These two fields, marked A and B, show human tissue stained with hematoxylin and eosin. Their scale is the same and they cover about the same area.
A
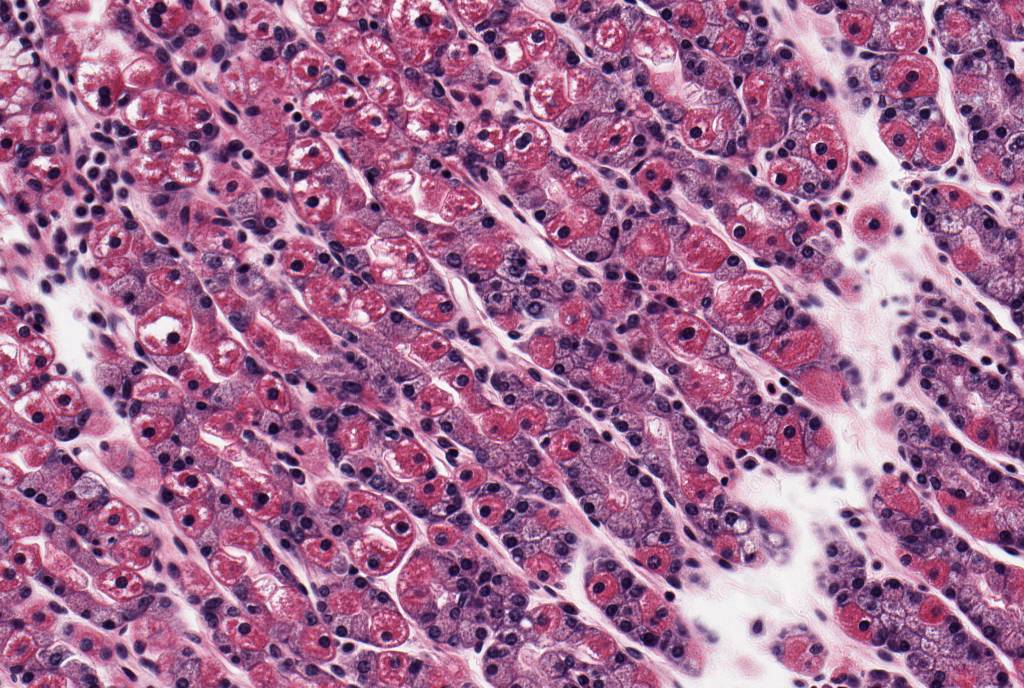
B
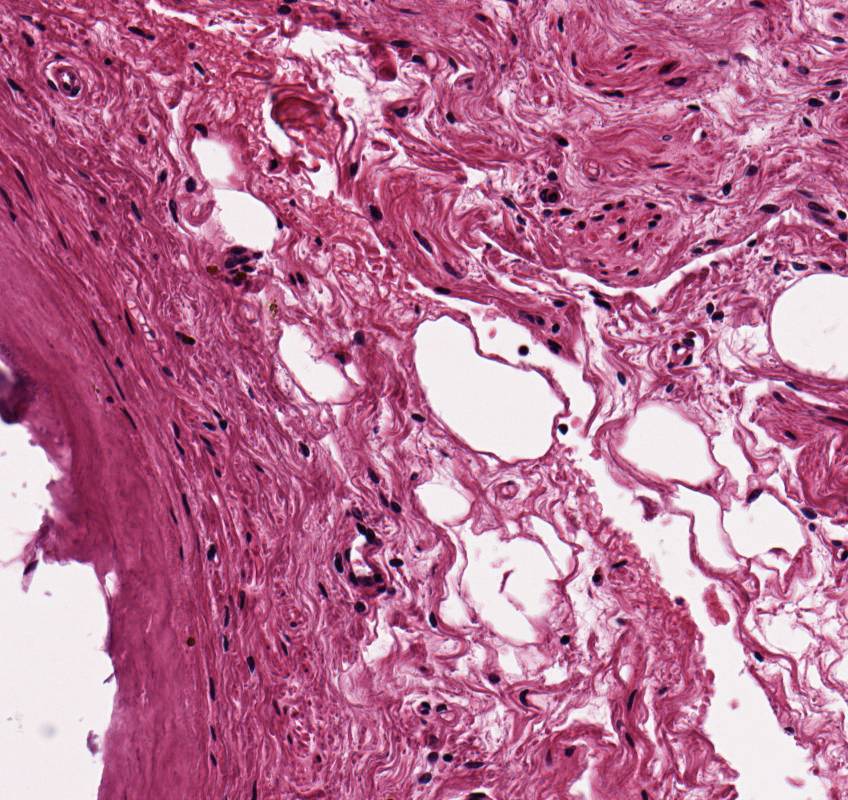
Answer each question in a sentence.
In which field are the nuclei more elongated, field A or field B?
It is field B whose nuclei are the more elongated.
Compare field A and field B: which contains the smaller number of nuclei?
The smaller number of nuclei is in field B.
